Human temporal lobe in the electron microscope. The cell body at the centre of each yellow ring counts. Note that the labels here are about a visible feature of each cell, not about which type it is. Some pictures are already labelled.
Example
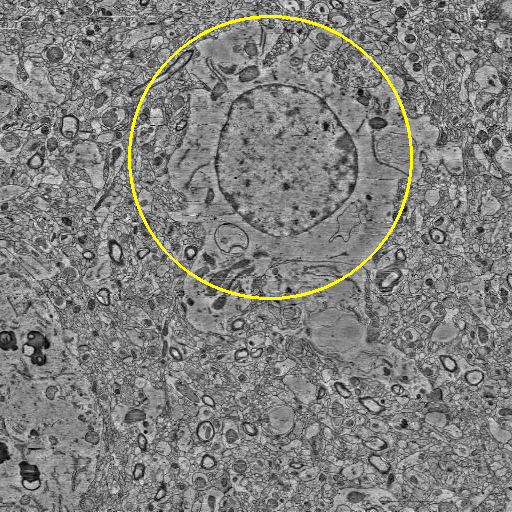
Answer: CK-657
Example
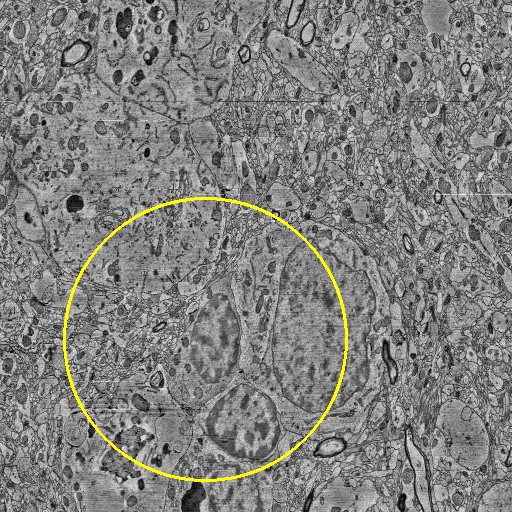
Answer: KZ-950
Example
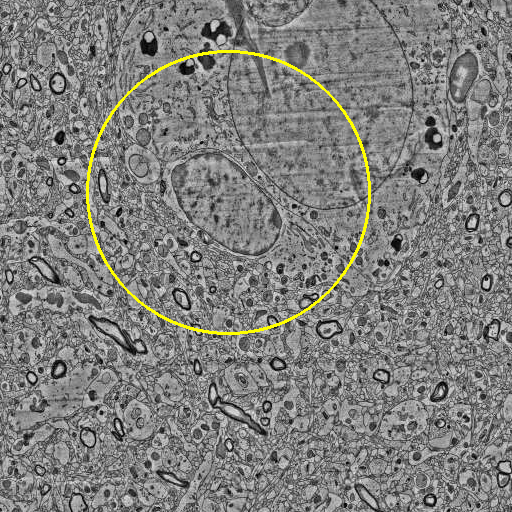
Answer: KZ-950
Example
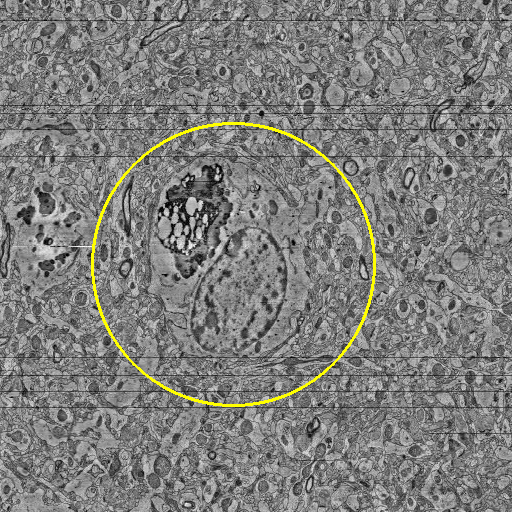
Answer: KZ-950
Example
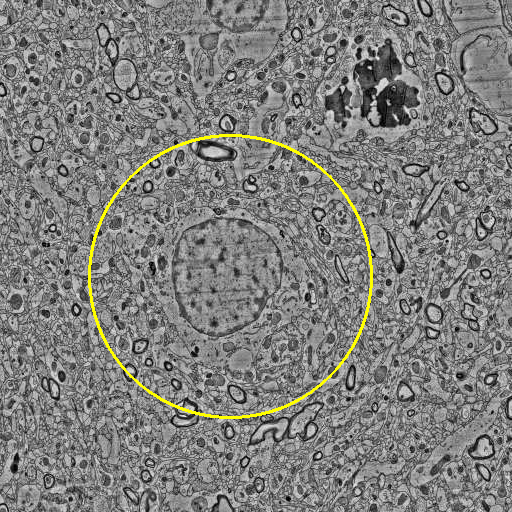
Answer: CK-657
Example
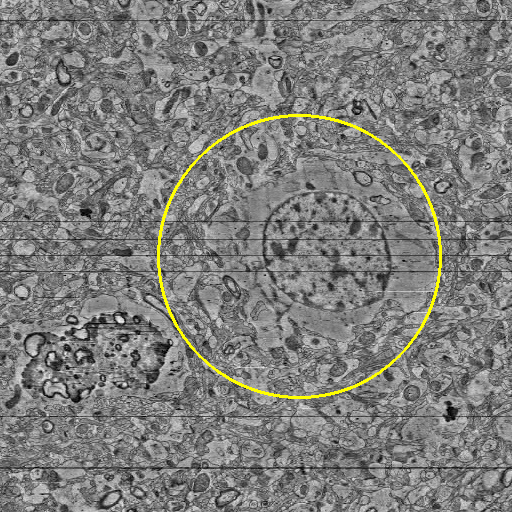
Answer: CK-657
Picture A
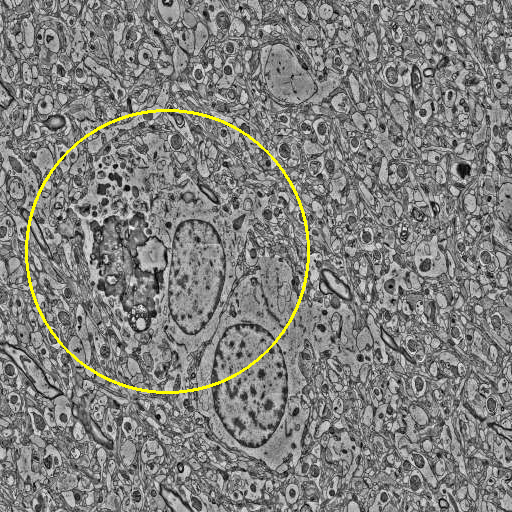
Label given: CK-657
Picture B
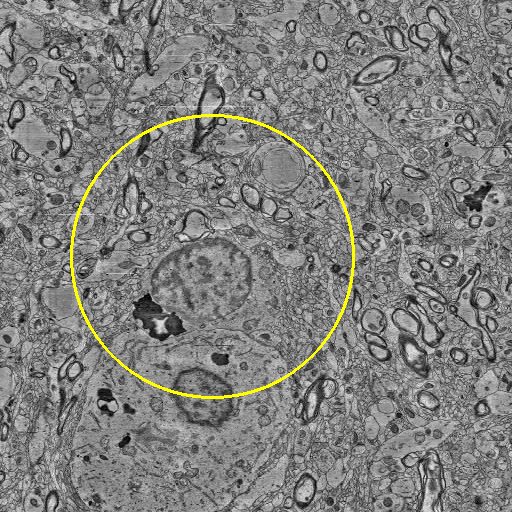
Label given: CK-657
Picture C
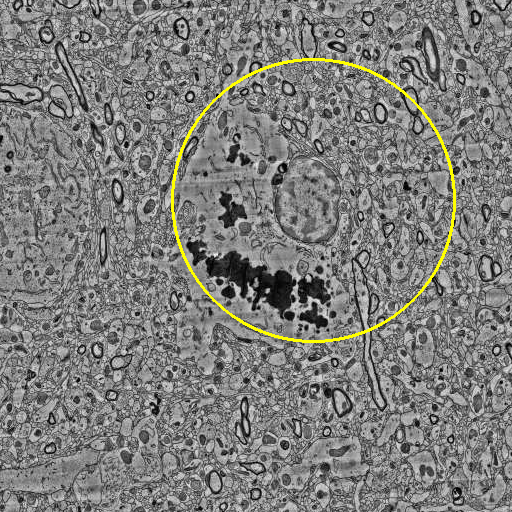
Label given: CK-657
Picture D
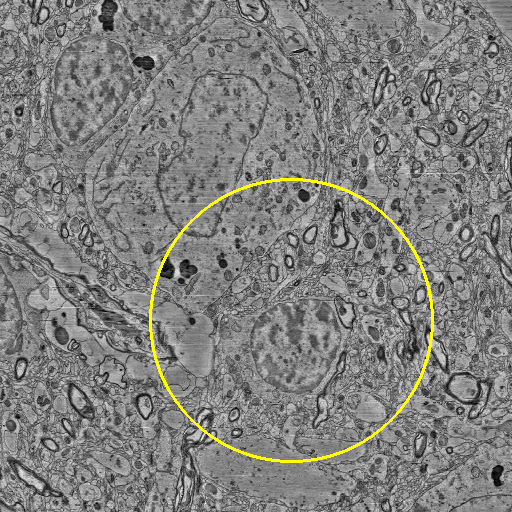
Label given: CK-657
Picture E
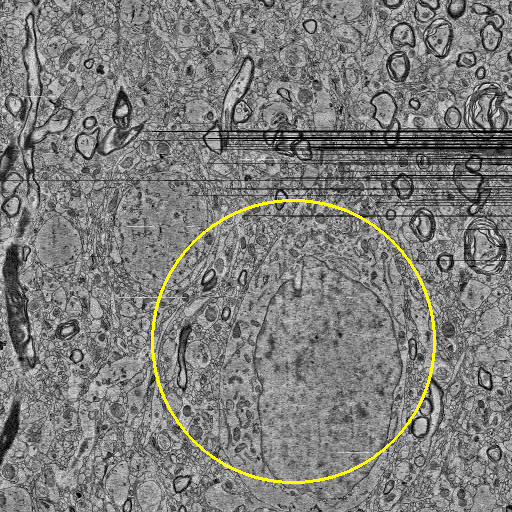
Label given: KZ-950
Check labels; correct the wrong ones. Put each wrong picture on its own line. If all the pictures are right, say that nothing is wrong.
A should be KZ-950, not CK-657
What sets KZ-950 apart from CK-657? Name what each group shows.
In KZ-950: clearly elongated nuclei. In CK-657: round or nearly round nuclei.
